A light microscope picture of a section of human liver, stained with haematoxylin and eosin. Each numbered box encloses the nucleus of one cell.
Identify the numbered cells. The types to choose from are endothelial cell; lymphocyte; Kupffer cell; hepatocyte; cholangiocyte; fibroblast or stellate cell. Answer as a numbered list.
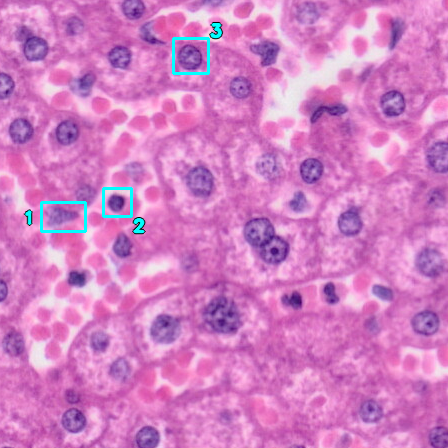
1. endothelial cell
2. lymphocyte
3. hepatocyte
